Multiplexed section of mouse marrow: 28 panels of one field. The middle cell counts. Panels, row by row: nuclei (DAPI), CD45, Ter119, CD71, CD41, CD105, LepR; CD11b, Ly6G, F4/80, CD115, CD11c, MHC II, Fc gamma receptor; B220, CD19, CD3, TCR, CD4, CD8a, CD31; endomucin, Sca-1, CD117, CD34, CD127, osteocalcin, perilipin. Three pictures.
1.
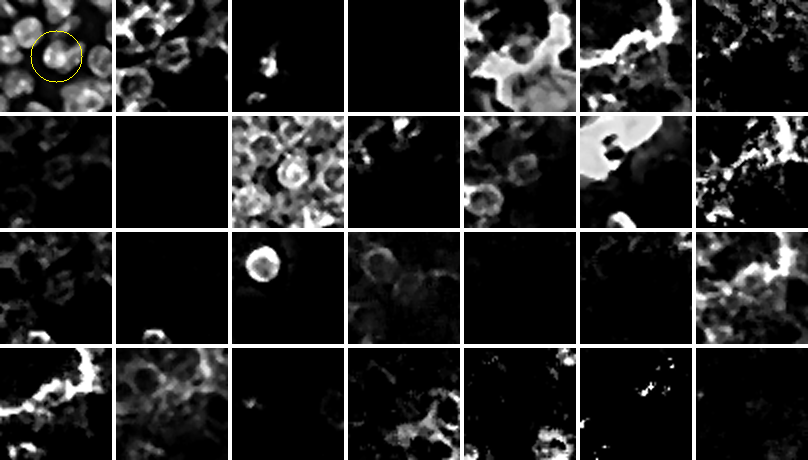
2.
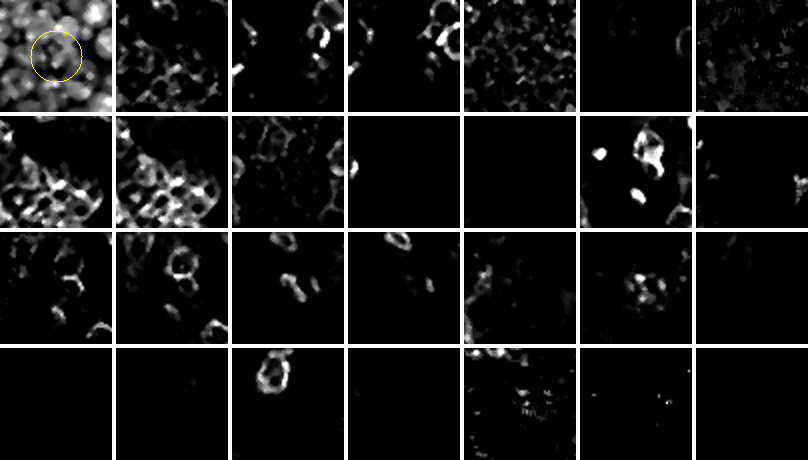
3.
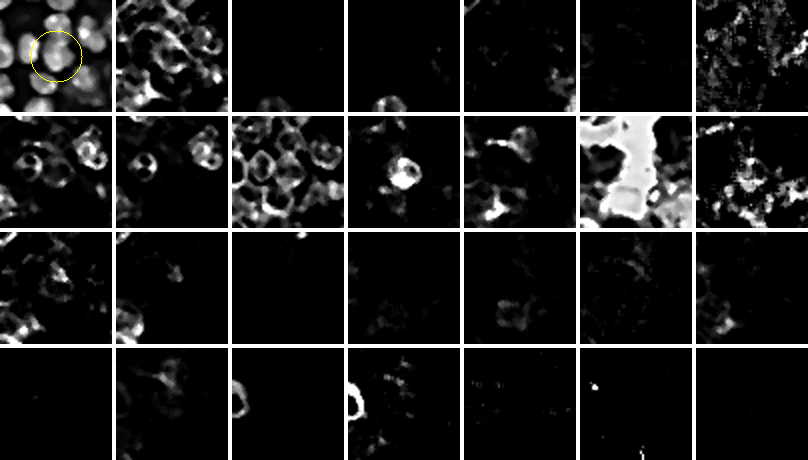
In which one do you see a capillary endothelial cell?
In picture 1.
